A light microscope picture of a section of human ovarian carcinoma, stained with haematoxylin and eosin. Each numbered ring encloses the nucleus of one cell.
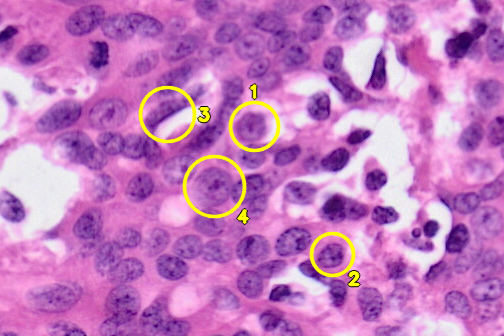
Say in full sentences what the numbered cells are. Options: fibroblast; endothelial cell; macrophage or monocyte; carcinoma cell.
Cells 1, 3 and 4 are carcinoma cells. Cell 2 is a macrophage or monocyte.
